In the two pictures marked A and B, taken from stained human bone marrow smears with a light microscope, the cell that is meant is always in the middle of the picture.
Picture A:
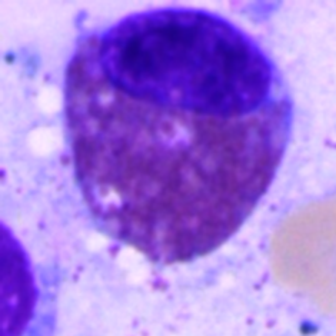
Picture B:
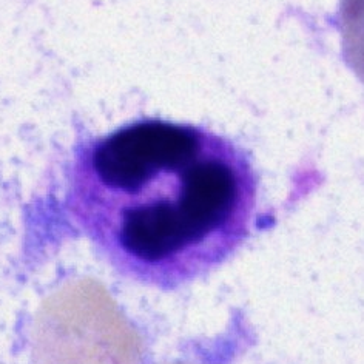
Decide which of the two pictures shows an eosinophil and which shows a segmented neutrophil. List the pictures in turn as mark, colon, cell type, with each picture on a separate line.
A: eosinophil
B: segmented neutrophil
